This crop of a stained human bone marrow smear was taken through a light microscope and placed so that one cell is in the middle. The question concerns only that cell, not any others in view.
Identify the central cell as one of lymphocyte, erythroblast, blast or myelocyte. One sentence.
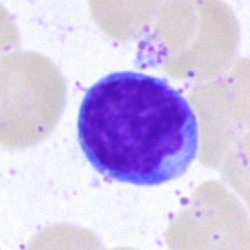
The middle cell in this particular crop is a lymphocyte.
